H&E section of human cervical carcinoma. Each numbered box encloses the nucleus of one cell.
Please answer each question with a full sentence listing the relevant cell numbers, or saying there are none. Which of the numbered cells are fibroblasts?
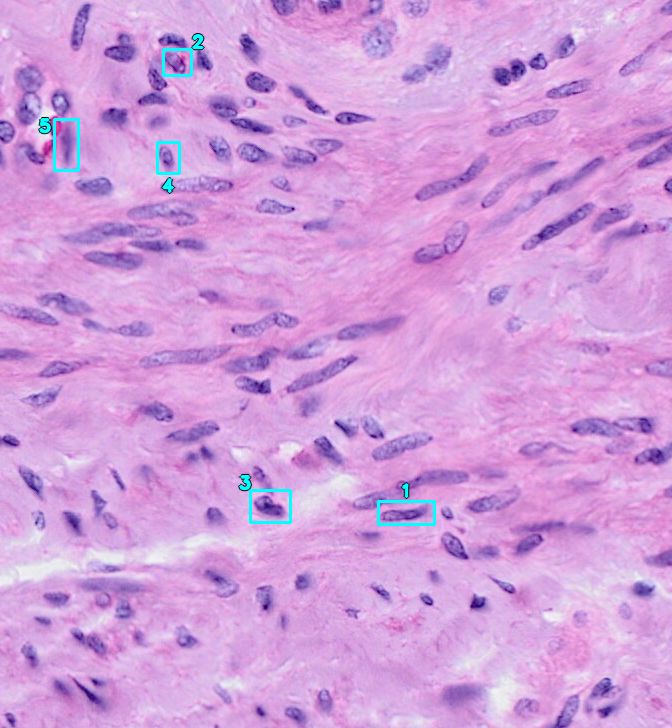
Only the cell numbered 1 is a fibroblast; none of the others is.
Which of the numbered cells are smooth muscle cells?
Cell 4 is the one numbered cell that is a smooth muscle cell.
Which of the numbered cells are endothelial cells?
The cells that have numbers 2 and 5 are endothelial cells.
